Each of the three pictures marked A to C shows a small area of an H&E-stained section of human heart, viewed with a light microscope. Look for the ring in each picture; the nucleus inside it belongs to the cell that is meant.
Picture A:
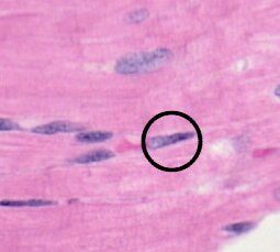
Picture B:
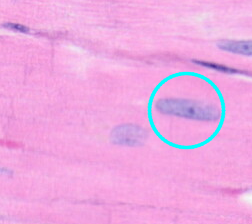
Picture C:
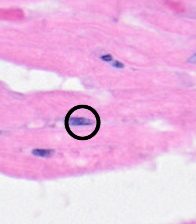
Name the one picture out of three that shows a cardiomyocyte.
B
